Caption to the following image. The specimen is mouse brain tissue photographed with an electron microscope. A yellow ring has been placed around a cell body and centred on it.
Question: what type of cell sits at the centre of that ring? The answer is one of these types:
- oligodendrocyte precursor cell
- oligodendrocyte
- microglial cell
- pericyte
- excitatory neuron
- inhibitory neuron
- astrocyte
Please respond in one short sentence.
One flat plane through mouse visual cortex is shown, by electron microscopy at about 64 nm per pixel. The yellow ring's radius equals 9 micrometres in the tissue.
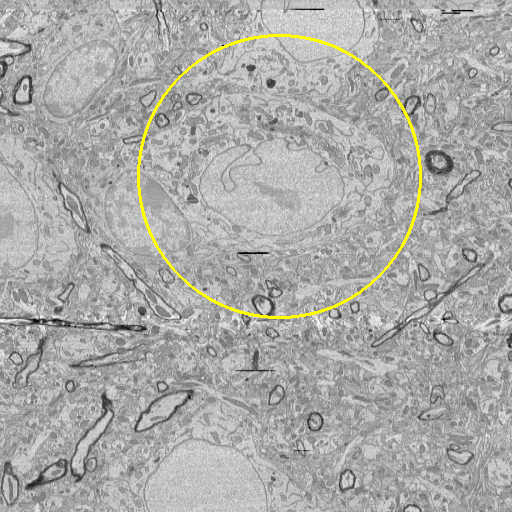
The ring surrounds the cell body of an inhibitory neuron.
